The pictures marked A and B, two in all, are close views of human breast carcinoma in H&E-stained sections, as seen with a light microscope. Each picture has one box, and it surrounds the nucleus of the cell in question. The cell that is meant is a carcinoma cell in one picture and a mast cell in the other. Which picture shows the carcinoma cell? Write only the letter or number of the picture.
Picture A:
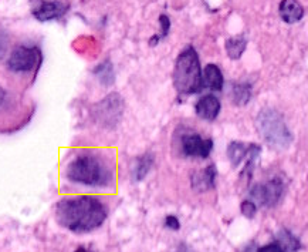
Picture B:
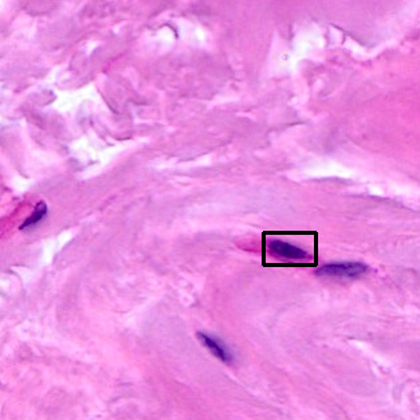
A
